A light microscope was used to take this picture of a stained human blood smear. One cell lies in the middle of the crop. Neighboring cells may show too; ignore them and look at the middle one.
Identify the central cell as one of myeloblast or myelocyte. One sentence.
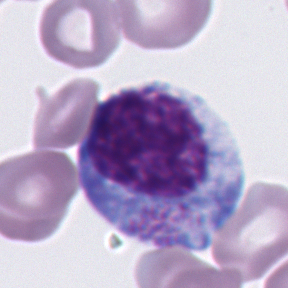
In the middle of this smear crop is a myelocyte.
